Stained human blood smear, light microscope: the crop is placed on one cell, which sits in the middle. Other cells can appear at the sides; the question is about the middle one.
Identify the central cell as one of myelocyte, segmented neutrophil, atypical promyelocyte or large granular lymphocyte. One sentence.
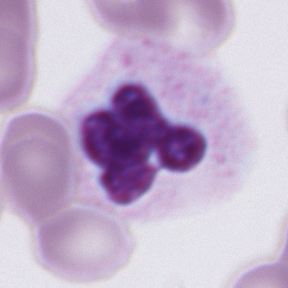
In this crop, the cell at the very middle is a segmented neutrophil.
